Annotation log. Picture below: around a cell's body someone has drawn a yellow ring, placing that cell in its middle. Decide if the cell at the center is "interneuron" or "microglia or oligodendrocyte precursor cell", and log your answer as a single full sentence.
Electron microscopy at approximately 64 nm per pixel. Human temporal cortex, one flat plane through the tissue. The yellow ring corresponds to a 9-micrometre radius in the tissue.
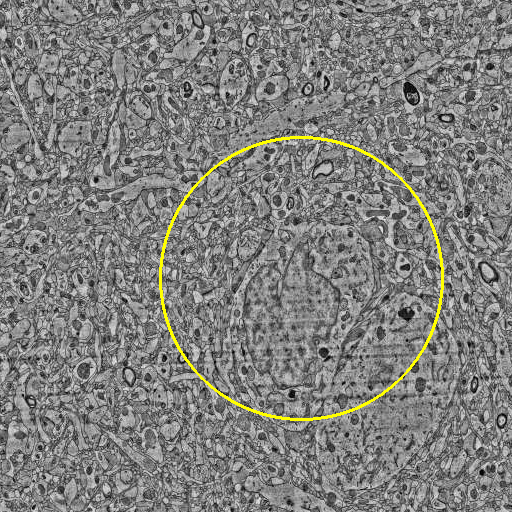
My entry records an interneuron as the cell sitting at the center of the yellow ring.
